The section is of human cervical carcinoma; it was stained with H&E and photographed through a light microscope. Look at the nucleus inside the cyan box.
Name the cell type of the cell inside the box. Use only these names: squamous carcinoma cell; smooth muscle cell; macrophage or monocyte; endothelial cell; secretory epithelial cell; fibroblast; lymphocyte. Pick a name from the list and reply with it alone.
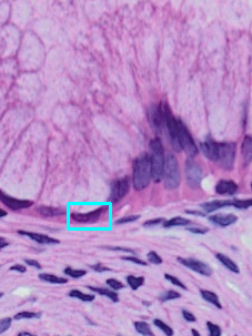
secretory epithelial cell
